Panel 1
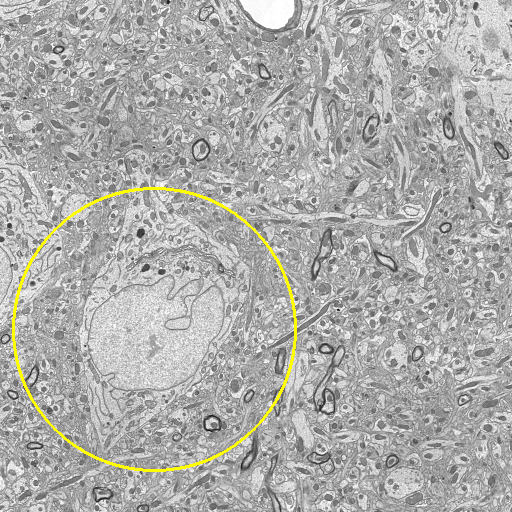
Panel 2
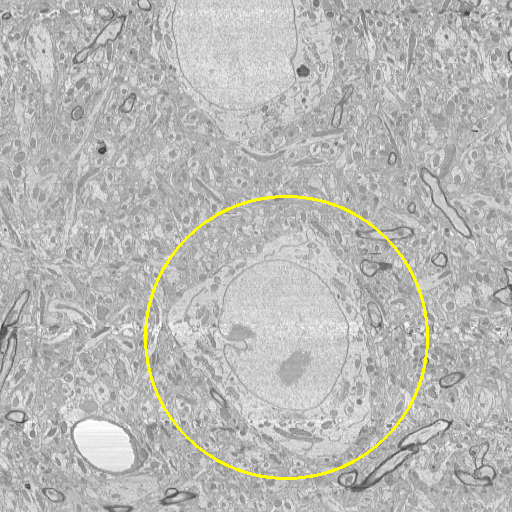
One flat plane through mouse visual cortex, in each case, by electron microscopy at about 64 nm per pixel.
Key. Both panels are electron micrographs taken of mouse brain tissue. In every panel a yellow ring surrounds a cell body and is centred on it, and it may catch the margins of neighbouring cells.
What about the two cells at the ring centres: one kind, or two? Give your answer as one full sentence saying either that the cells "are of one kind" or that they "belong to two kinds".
Across Panels 1 and 2, the two cells at the ring centres belong to two kinds.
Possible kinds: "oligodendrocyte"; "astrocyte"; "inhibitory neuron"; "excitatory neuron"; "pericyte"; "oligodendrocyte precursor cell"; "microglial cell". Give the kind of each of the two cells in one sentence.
The cell in the second picture is an excitatory neuron, and that in the first is an inhibitory neuron.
